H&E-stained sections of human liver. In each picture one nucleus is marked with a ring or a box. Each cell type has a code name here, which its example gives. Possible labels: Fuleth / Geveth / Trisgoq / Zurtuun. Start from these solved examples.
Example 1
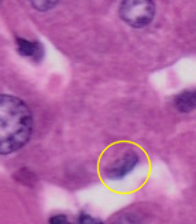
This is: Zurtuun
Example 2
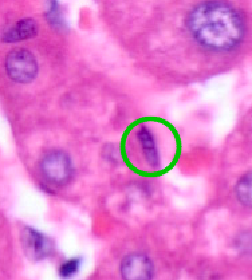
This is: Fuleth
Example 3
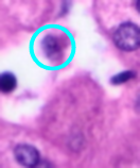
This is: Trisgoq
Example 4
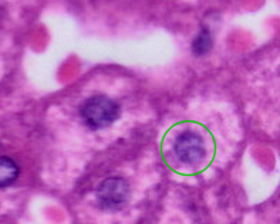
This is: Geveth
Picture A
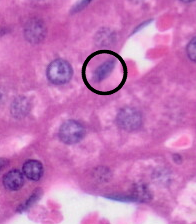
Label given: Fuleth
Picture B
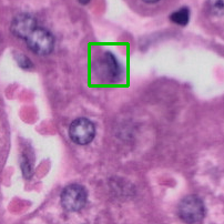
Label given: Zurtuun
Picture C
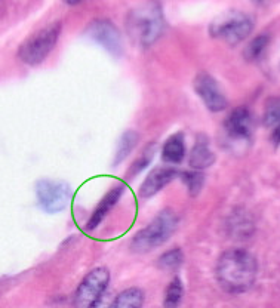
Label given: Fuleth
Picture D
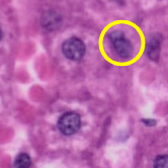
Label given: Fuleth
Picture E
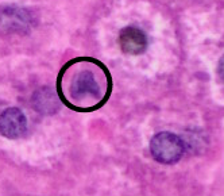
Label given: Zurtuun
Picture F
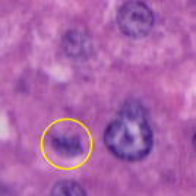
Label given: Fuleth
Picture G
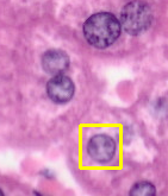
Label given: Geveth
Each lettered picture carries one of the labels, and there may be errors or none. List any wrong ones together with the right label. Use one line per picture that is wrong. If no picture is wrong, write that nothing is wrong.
F is labelled Fuleth; correct label: Zurtuun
